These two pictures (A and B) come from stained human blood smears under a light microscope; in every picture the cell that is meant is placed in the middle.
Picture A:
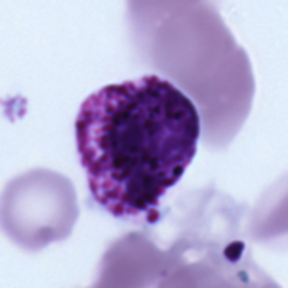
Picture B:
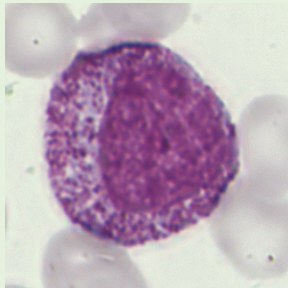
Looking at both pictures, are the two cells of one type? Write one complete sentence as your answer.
No. Picture A shows a basophil, but picture B shows a promyelocyte.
